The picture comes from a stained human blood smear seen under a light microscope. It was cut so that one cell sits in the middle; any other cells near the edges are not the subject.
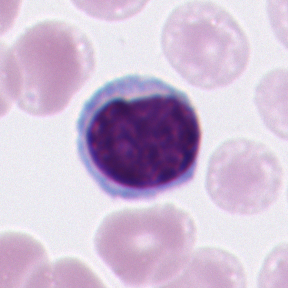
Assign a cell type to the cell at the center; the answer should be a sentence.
The cell marked by its central position in the crop is a typical lymphocyte.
